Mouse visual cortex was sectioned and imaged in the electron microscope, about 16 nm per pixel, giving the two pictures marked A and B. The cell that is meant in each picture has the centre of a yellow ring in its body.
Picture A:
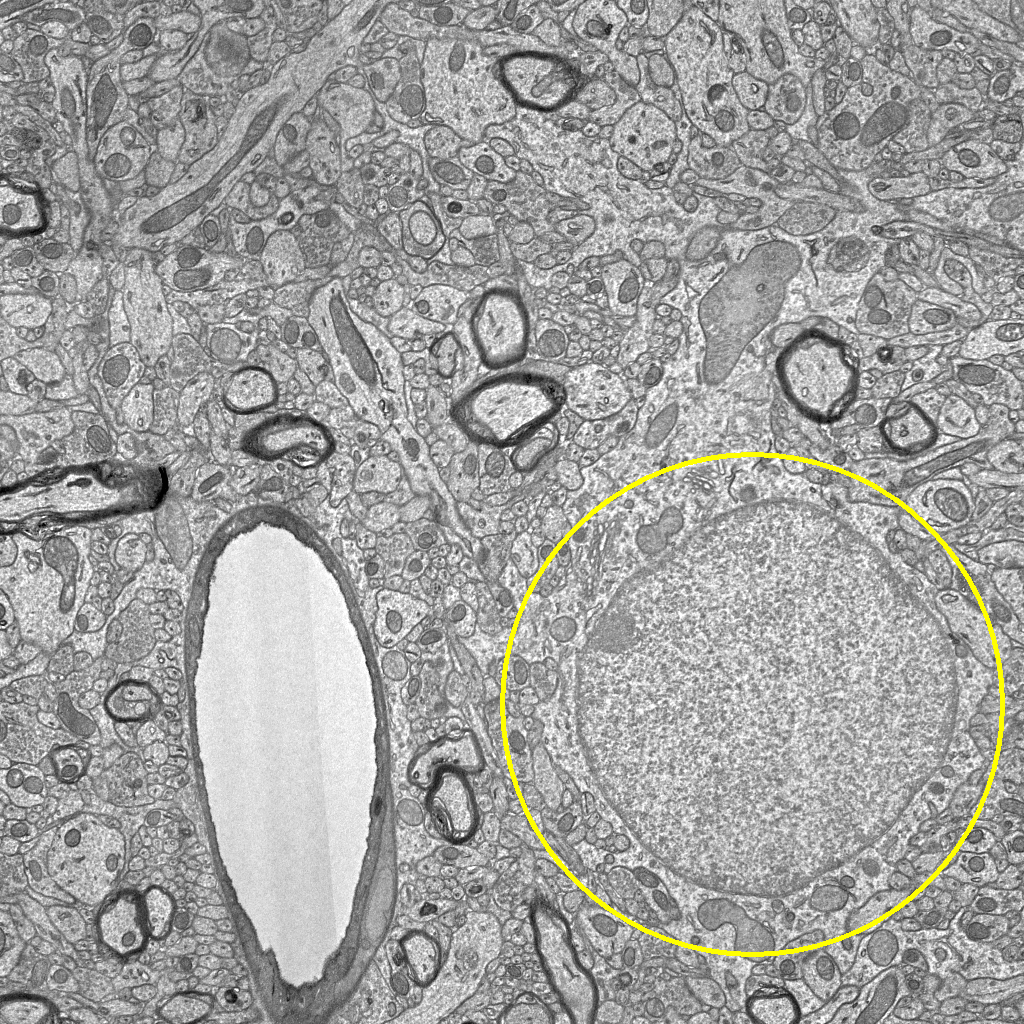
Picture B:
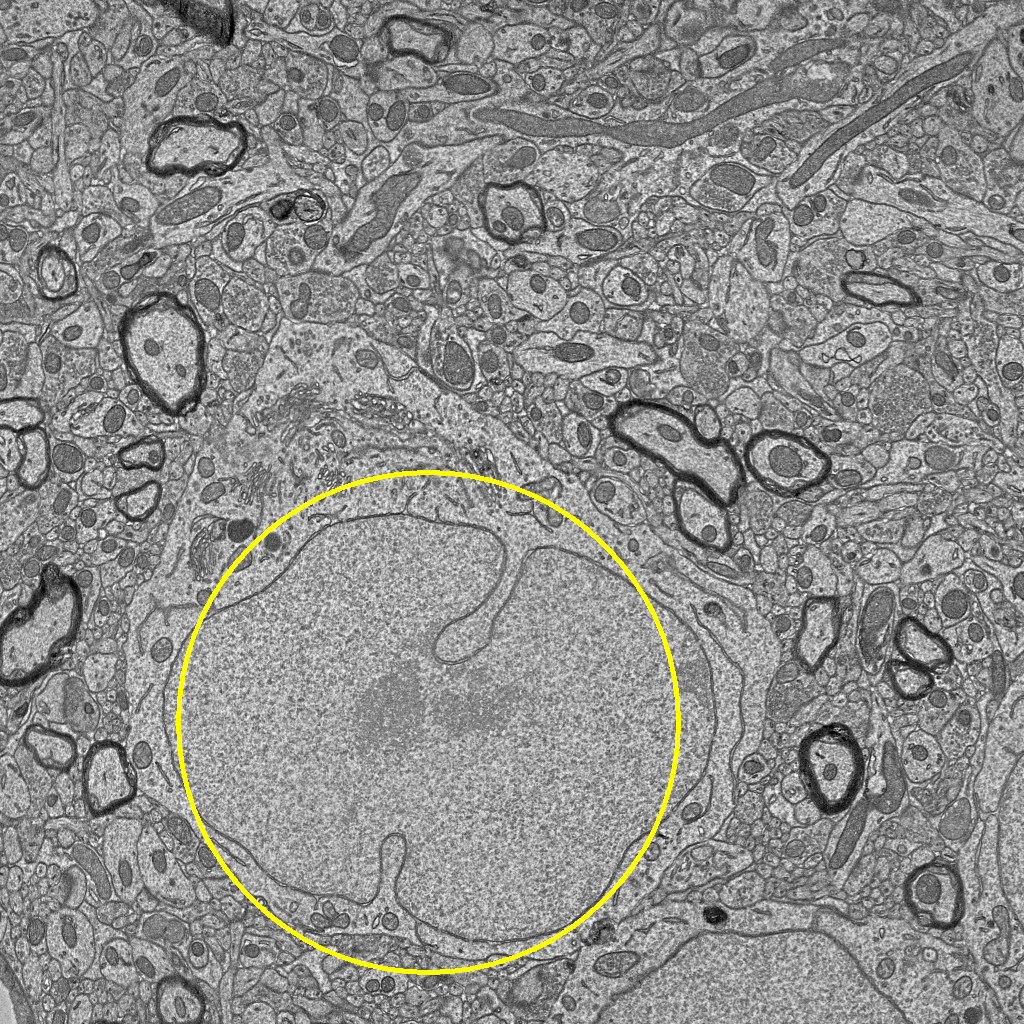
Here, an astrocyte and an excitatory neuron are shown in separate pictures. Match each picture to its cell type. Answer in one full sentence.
It is picture A that shows an astrocyte, and picture B that shows an excitatory neuron.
